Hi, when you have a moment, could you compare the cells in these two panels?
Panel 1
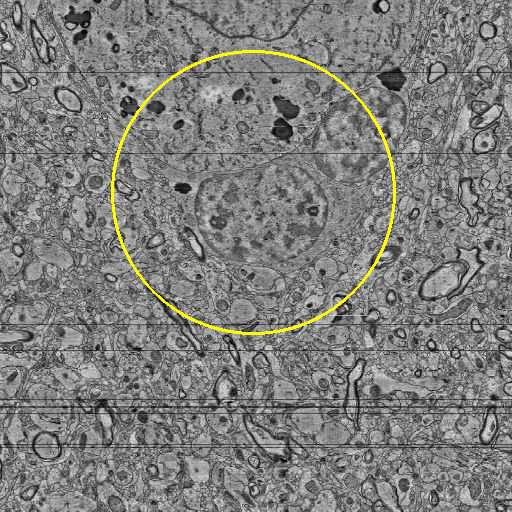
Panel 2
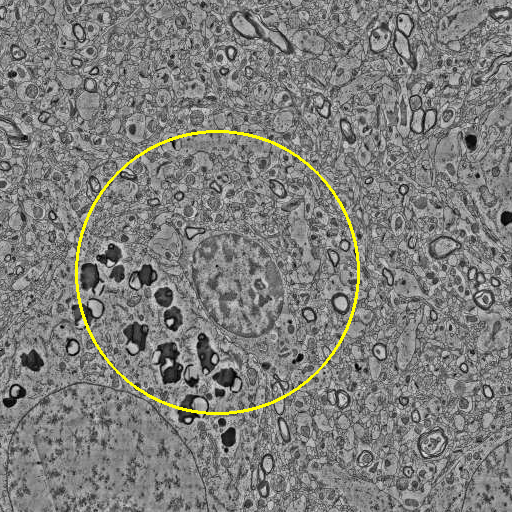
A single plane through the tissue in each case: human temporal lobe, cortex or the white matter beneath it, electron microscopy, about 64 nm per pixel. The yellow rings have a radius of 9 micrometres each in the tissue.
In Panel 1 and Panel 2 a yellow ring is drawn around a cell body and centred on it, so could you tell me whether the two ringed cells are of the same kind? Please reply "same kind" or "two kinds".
same kind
